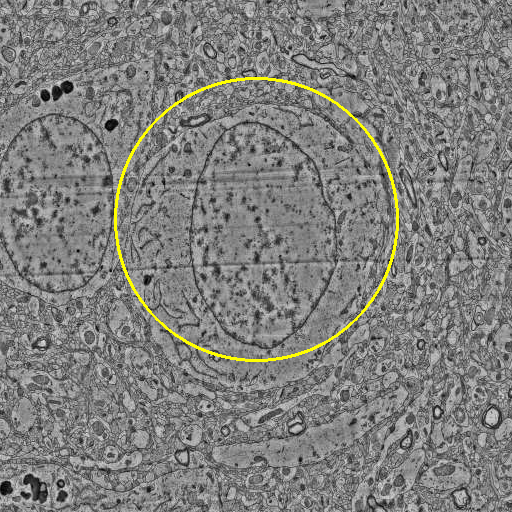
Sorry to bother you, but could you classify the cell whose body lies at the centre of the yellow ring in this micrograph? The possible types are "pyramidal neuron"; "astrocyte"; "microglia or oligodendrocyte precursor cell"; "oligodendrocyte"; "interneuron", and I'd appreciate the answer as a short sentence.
The ringed cell body is that of a pyramidal neuron.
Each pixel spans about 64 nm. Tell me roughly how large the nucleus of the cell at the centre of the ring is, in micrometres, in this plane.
Roughly 14 by 10 micrometres is the size of the nucleus in this plane.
